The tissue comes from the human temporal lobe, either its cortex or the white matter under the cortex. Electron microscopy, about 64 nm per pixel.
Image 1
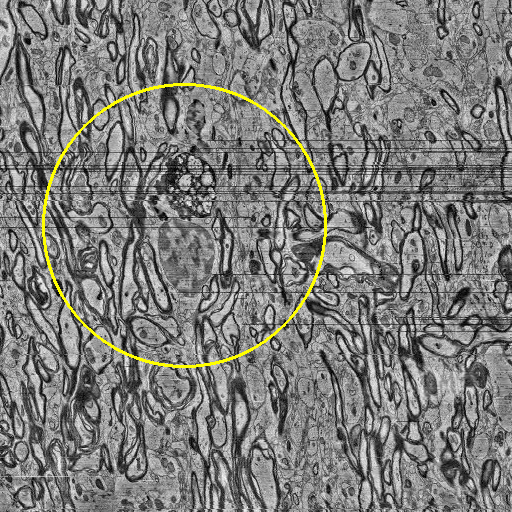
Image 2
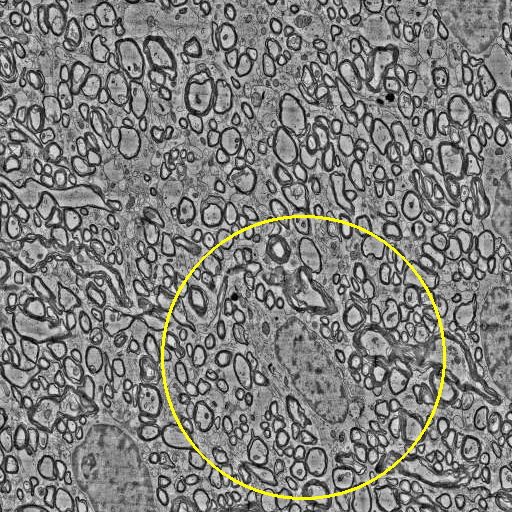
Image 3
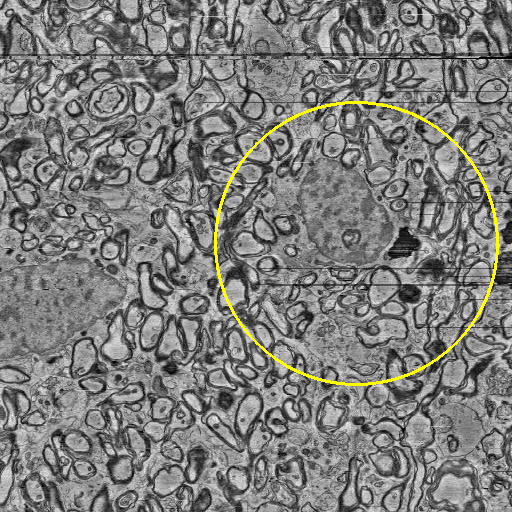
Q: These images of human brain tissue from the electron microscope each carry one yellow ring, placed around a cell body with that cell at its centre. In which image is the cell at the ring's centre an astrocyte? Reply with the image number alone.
2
